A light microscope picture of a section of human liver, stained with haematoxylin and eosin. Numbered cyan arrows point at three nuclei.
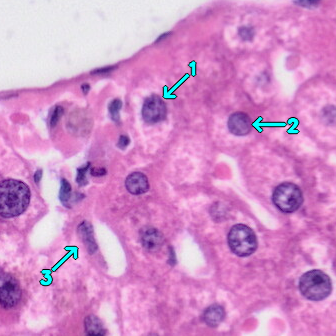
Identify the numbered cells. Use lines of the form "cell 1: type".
cell 1: hepatocyte
cell 2: hepatocyte
cell 3: Kupffer cell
